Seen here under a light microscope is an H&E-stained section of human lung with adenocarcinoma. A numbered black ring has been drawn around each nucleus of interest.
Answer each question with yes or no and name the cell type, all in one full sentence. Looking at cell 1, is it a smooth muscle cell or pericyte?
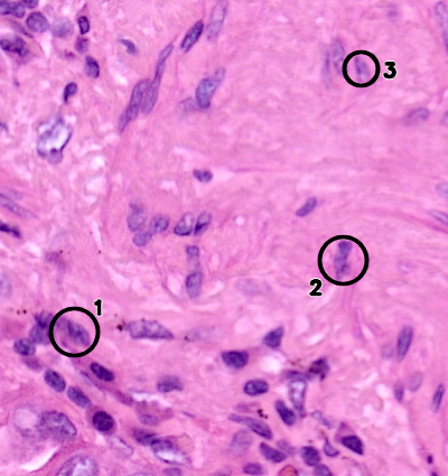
No, the cell carrying number 1 is a plasma cell rather than a smooth muscle cell or pericyte.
